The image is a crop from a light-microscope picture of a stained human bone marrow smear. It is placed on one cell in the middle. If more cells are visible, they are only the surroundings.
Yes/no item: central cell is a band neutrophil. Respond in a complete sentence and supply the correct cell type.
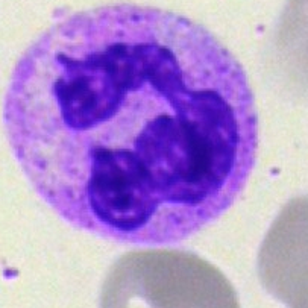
No, the centre cell is not a band neutrophil but a segmented neutrophil.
